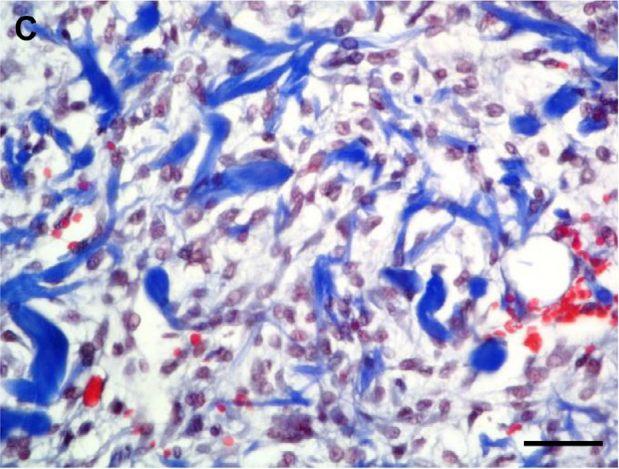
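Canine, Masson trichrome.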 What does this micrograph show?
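The nuclei are oval to elongated and purple, packed closely and running in different directions. Between them lie bright blue, thick and wavy bundles that look like twisted ropes. A few small clear spaces are present, and red blood cells stain bright red near one of them. The spindle cells are thus intermixed with coarse, ropey collagen fibres.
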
